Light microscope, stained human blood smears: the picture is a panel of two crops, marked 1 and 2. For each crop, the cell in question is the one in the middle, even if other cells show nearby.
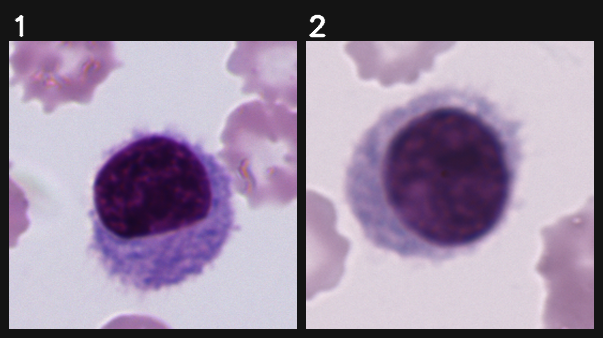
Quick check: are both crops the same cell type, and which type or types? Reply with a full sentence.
Yes, shown in both crops are hairy cells.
